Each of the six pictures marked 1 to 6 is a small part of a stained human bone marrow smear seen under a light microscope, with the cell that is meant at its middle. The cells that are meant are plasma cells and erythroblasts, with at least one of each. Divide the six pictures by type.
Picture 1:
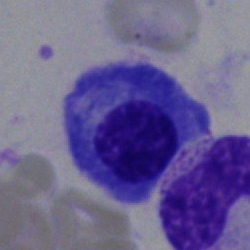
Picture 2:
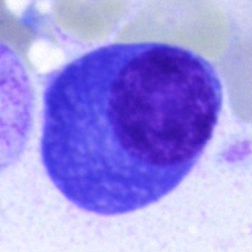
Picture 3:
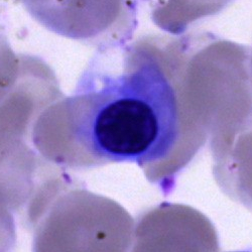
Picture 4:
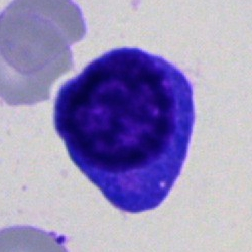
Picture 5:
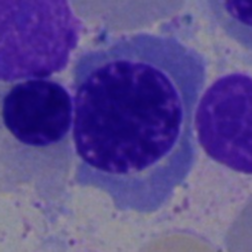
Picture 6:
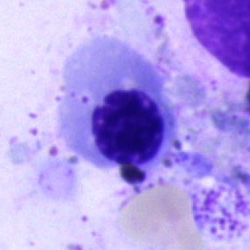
1: plasma cell
2: plasma cell
3: erythroblast
4: plasma cell
5: erythroblast
6: erythroblast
